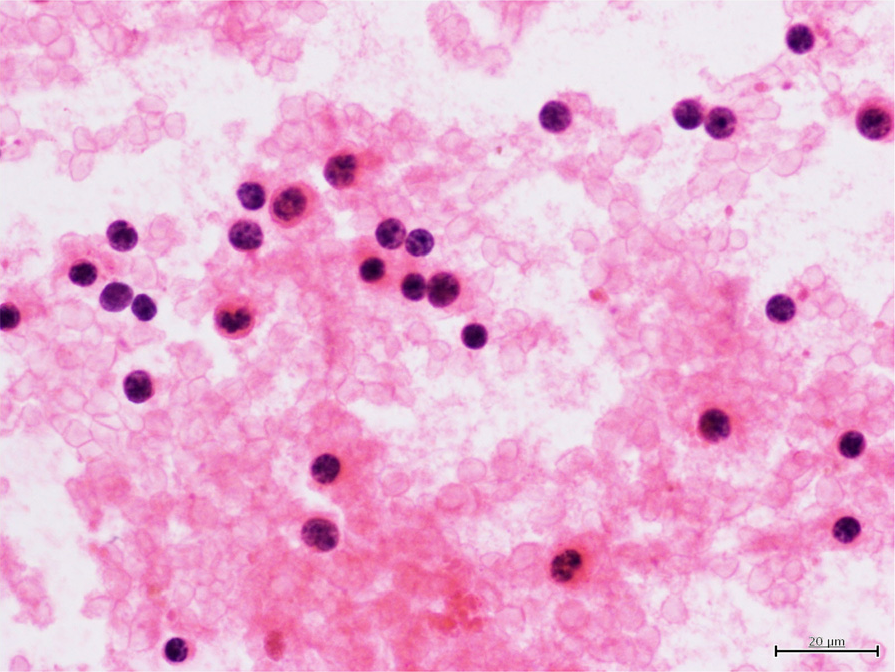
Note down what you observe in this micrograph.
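Cytological smear of scattered round cells somewhat larger than small lymphocytes, together with single hemosiderophages, lying over a background of pale pink outlined red cells. The nuclei are round, dark purple, with regular contours and coarsely clumped chromatin. Nucleoli are not prominent. Most cells show very little visible cytoplasm and lie singly or in small loose groups. A few larger cells carry a rim of orange-pink cytoplasm around the nucleus.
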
